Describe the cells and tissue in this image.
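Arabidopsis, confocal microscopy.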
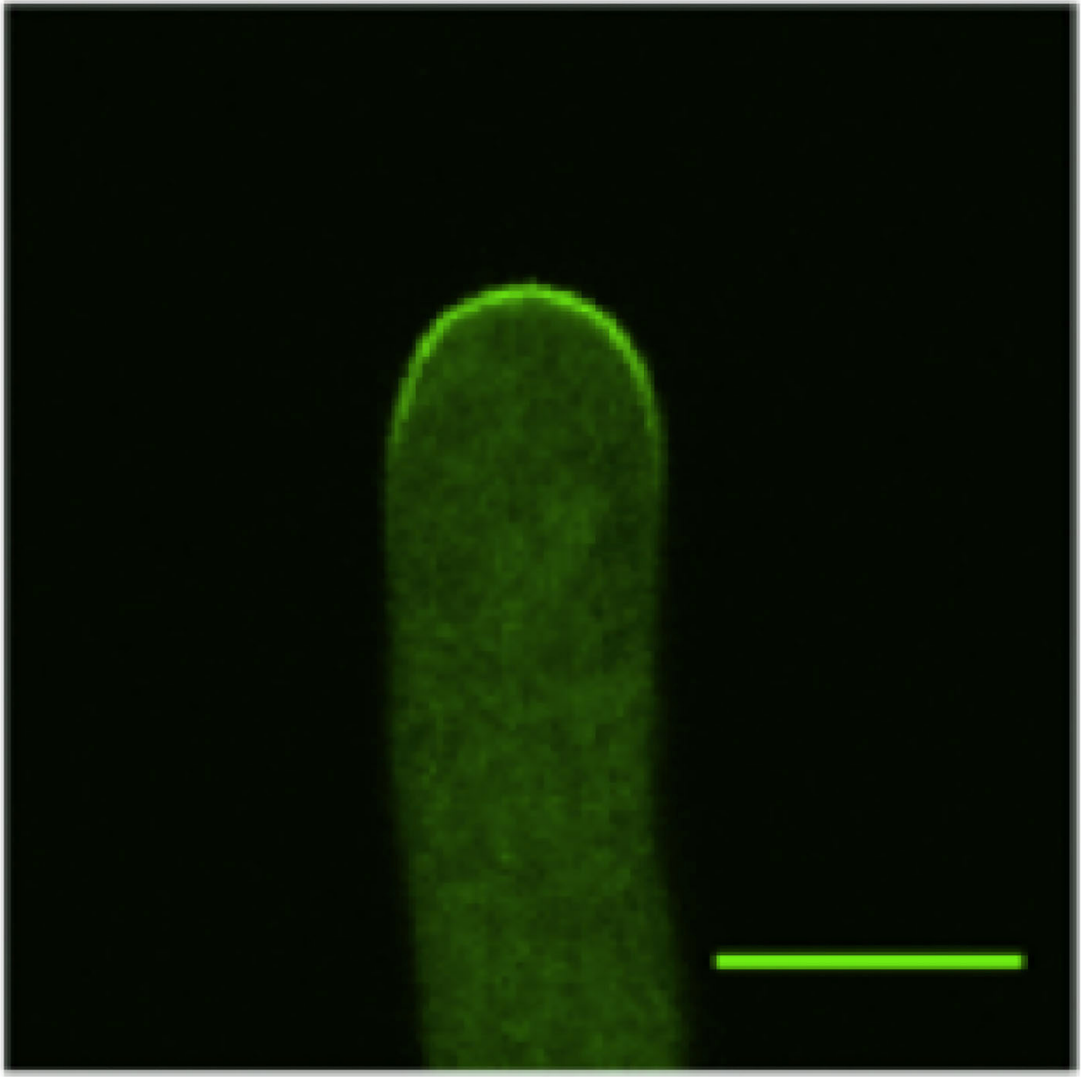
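The tip region of a single pollen tube lies isolated against a black background. The cell is a narrow cylinder of even width that enters from the lower edge and ends in a smooth, rounded dome. A thin, bright green line follows the outer edge of the dome and fades toward the flanks. It stops a short way behind the apex, so the sides of the tube lack this bright edge. The cytoplasm throughout the tube shows weaker, finely granular green fluorescence with no distinct organelles or vacuoles resolved. The outline is smooth and shows no branching or swelling.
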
